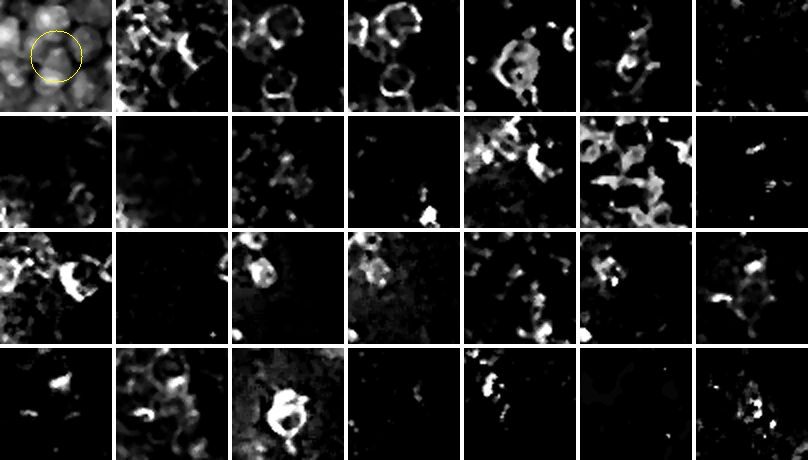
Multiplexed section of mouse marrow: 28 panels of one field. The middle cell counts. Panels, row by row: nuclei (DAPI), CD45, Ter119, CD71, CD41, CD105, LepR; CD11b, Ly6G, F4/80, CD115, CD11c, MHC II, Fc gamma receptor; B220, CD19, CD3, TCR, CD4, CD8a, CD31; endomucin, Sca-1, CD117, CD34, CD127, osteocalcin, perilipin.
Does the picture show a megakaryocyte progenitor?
Yes.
